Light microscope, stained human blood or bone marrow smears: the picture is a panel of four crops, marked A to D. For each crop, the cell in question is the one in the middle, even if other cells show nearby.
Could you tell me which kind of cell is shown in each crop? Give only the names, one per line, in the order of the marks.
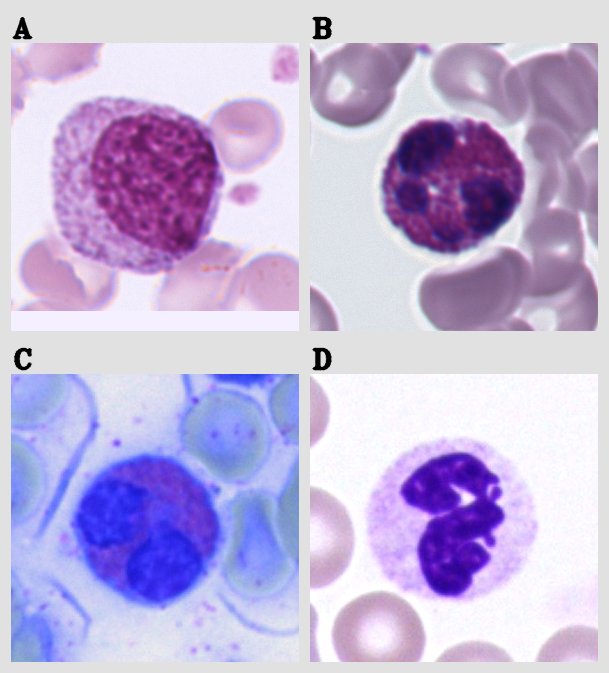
myelocyte
eosinophil
eosinophil
segmented neutrophil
